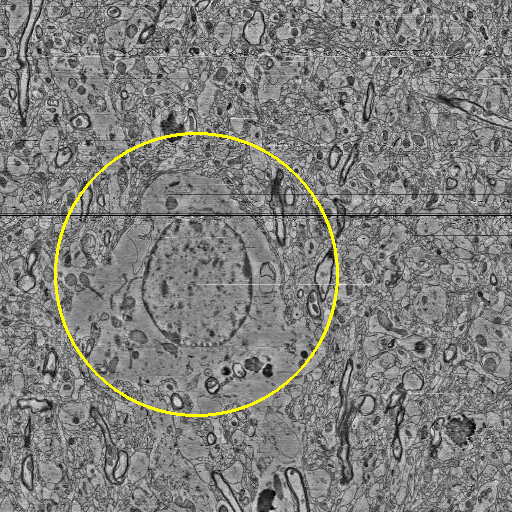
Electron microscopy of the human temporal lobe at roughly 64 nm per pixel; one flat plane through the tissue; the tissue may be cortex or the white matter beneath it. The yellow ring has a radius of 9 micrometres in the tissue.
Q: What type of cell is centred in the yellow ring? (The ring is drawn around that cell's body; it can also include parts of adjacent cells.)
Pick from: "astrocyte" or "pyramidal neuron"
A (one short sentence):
The yellow ring is centred on an astrocyte.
